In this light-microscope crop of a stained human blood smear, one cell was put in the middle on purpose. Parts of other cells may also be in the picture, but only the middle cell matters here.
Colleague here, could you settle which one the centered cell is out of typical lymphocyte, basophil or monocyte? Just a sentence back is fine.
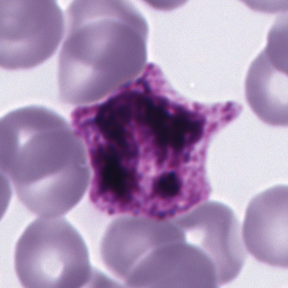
In short, the cell at the center is a basophil.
